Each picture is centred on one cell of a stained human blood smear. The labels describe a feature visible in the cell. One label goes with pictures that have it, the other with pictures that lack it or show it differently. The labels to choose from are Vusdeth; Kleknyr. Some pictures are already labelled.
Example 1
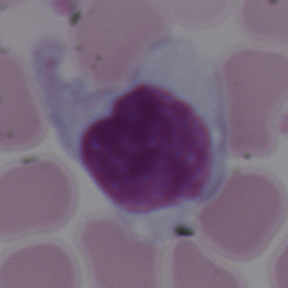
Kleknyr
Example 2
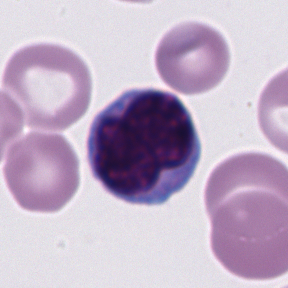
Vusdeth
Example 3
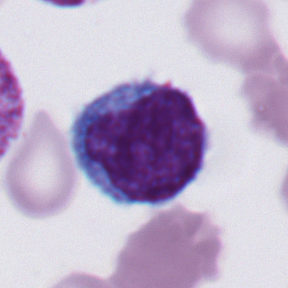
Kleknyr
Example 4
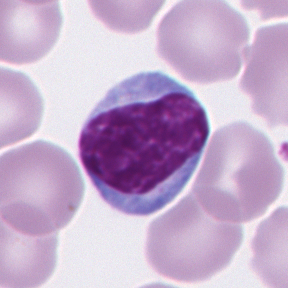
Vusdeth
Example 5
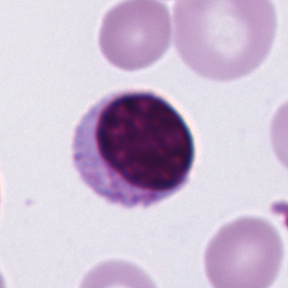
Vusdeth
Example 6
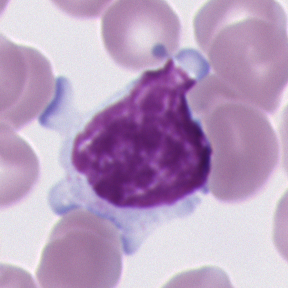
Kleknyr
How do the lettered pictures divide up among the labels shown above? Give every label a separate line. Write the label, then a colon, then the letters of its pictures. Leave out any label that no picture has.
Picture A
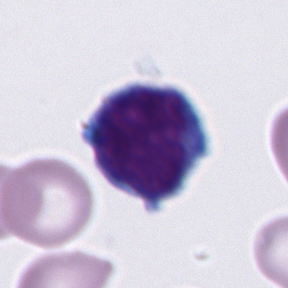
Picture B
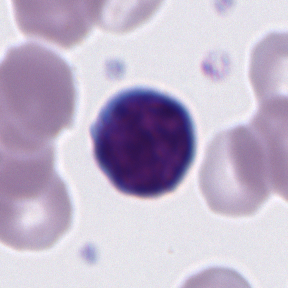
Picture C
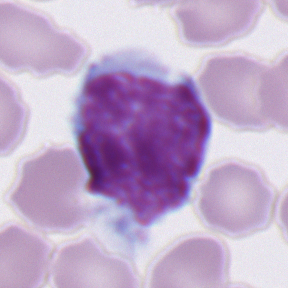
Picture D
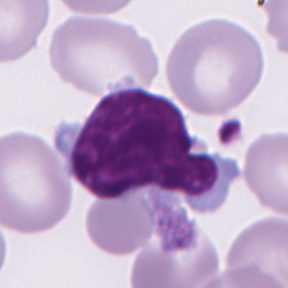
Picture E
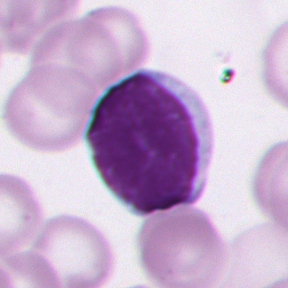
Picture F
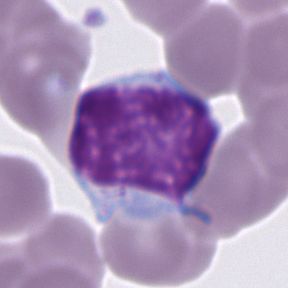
Vusdeth: B, E
Kleknyr: A, C, D, F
